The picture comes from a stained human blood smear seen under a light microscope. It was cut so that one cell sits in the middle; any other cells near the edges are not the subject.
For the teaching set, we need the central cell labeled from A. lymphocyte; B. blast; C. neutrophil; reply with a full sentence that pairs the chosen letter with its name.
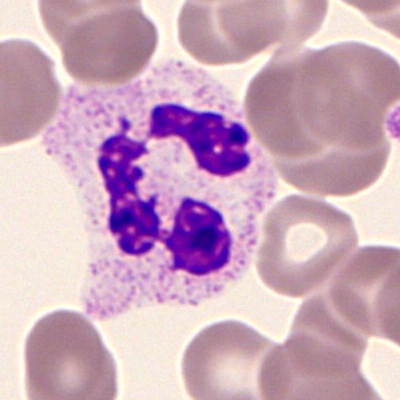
The centrally positioned cell is a neutrophil, consistent with option C, which is correct.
